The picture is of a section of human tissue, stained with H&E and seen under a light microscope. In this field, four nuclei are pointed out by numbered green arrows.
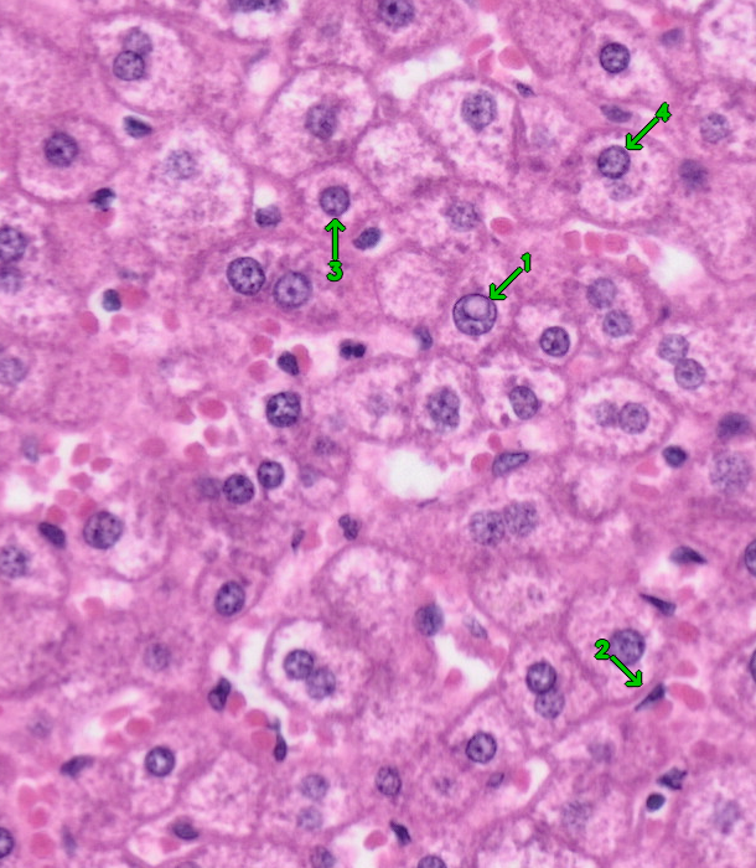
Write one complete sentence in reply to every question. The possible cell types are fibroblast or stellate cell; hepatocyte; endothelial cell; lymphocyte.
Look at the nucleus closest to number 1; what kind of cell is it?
The nucleus nearest to number 1 is that of an endothelial cell.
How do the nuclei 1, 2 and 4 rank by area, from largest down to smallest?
From largest to smallest, the order is 1, 4, 2.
